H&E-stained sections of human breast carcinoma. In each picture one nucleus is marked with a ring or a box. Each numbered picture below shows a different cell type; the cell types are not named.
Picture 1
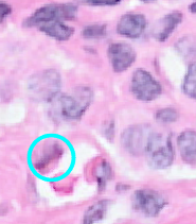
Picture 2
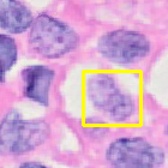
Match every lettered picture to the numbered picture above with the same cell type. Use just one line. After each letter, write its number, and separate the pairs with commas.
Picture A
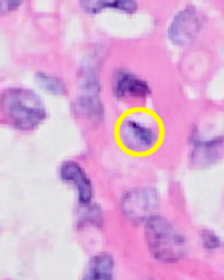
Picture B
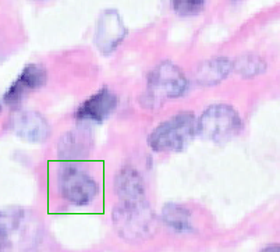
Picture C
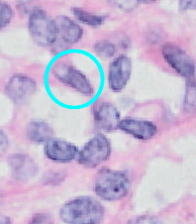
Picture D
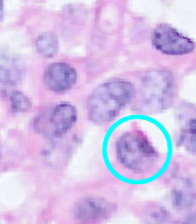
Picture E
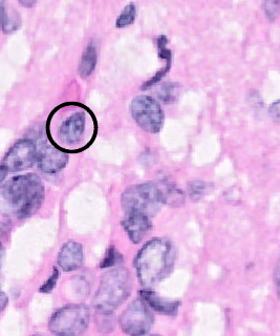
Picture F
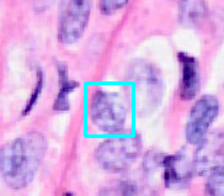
A 1, B 2, C 2, D 2, E 1, F 2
